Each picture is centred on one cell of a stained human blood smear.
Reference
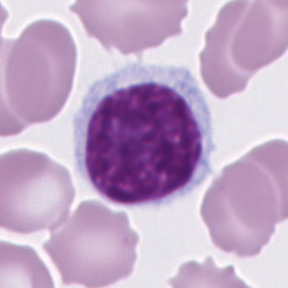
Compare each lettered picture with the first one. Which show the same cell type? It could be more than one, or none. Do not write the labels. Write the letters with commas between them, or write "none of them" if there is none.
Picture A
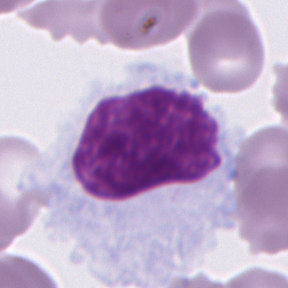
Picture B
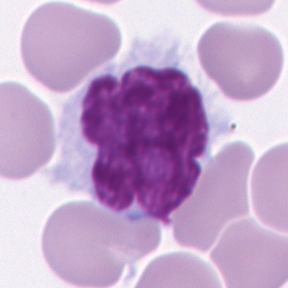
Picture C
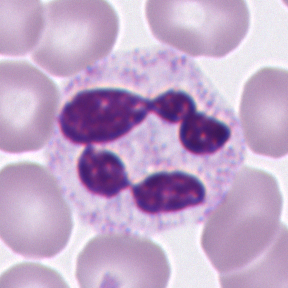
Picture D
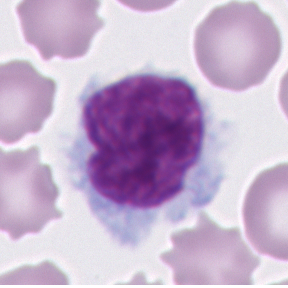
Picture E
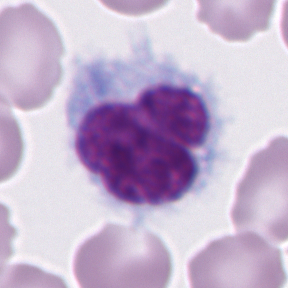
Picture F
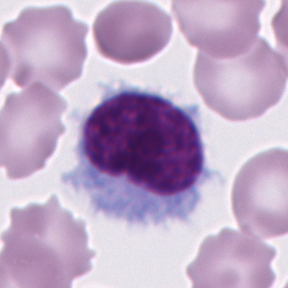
A, B, D, E, F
